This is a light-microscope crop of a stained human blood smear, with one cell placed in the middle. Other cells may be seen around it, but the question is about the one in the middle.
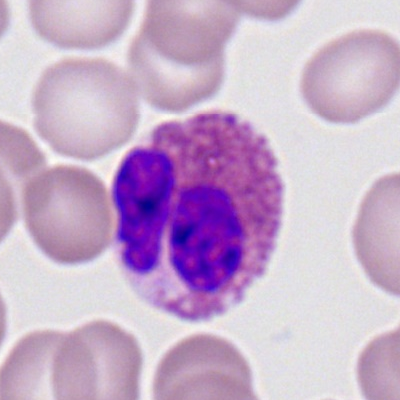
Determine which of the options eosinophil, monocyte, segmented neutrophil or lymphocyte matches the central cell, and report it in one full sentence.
The middle of this crop is occupied by an eosinophil.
